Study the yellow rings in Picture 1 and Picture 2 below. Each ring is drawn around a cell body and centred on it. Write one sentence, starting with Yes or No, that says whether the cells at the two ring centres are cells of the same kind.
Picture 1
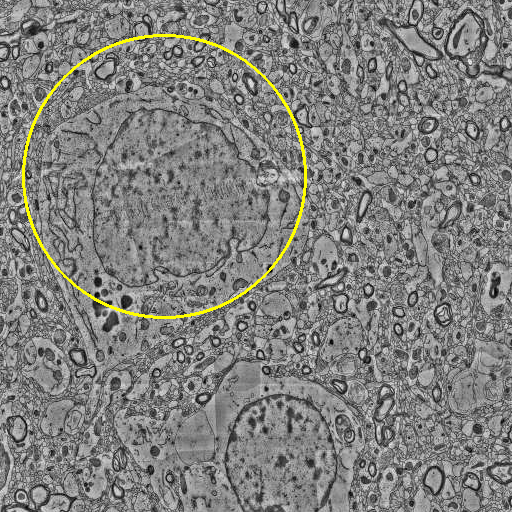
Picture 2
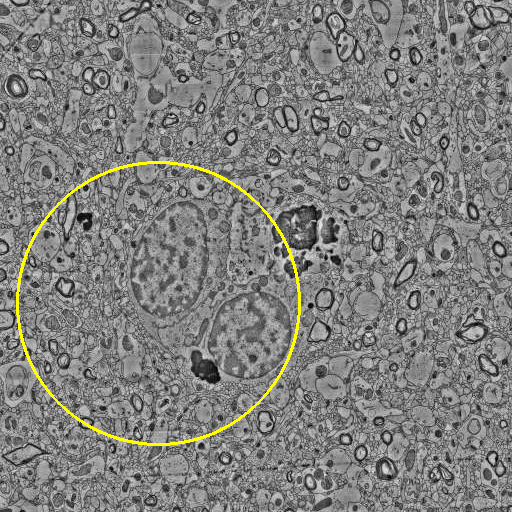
No, the cells at the ring centres are of two kinds.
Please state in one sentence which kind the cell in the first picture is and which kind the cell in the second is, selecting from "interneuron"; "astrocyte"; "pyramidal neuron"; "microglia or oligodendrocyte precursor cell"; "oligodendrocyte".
The first ringed cell is a pyramidal neuron, the second ringed cell an oligodendrocyte.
